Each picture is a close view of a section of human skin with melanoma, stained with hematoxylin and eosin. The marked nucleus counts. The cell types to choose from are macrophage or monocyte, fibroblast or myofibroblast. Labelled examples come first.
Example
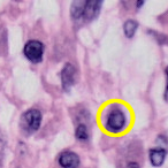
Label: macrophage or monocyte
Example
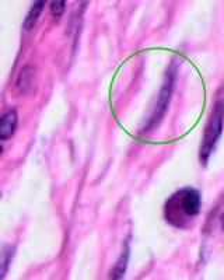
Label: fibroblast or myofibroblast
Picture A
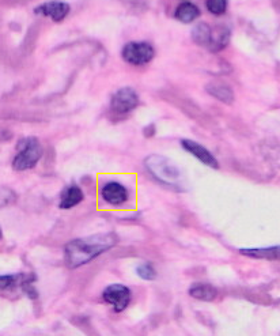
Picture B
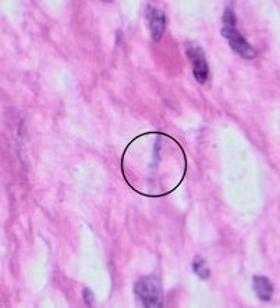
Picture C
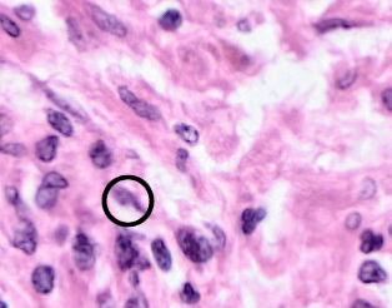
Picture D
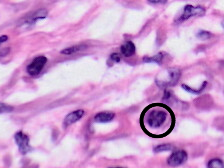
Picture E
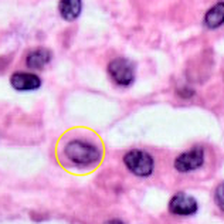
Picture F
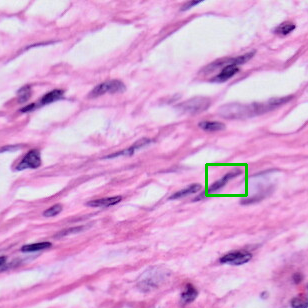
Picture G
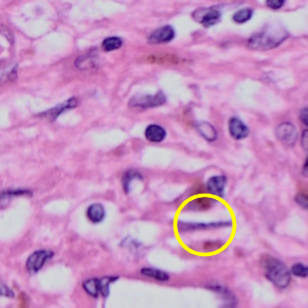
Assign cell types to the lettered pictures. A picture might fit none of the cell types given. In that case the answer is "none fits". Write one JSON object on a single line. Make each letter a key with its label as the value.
{"A": "none fits", "B": "fibroblast or myofibroblast", "C": "fibroblast or myofibroblast", "D": "none fits", "E": "macrophage or monocyte", "F": "fibroblast or myofibroblast", "G": "fibroblast or myofibroblast"}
